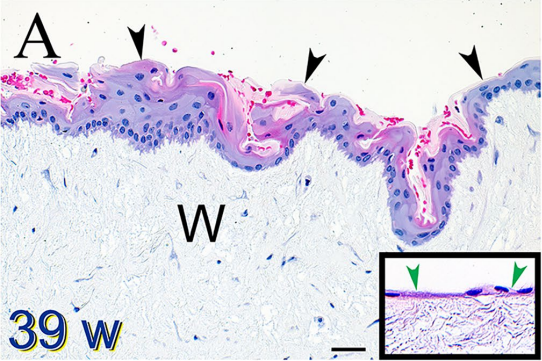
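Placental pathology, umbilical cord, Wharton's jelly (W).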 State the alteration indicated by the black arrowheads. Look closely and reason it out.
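The surface epithelium is several cell layers thick with flattened outer cells. A pink, keratin-like layer covers the surface. The inset shows only a single thin flat cell layer on the surface. So: Squamous metaplasia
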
